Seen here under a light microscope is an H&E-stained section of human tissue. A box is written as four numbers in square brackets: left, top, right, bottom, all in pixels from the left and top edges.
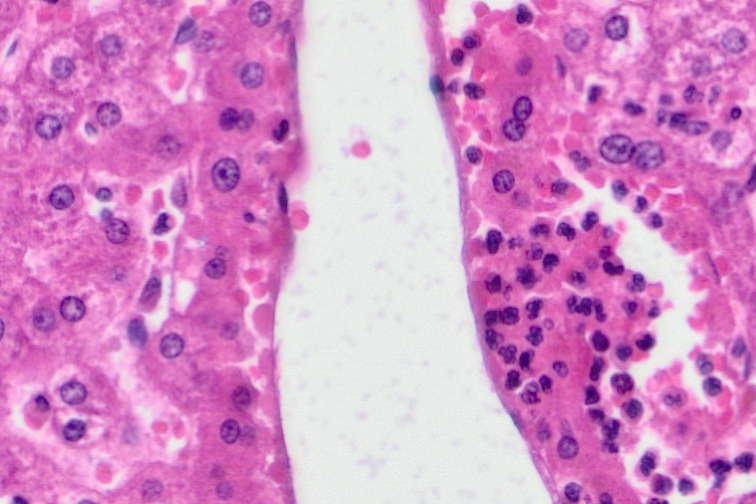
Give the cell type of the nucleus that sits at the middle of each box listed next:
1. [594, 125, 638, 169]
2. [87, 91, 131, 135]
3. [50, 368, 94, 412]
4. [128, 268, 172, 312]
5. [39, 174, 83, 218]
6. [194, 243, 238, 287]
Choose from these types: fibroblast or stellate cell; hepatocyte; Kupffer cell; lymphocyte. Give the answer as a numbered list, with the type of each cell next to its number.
1. hepatocyte
2. hepatocyte
3. hepatocyte
4. Kupffer cell
5. hepatocyte
6. Kupffer cell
